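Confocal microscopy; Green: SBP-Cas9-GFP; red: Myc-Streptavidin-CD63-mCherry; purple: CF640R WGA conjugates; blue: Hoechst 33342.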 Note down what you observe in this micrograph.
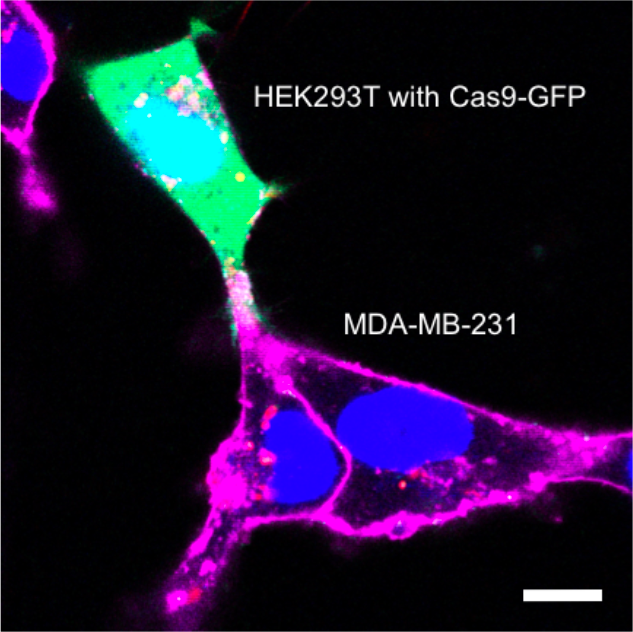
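An upper cell filled with green signal tapers into a narrow bridge that reaches a lower cell outlined by purple membrane staining. The lower cells have large oval blue nuclei and purple-bordered cytoplasm with red and purple dots. The green signal extends into the bridge toward the lower cell.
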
